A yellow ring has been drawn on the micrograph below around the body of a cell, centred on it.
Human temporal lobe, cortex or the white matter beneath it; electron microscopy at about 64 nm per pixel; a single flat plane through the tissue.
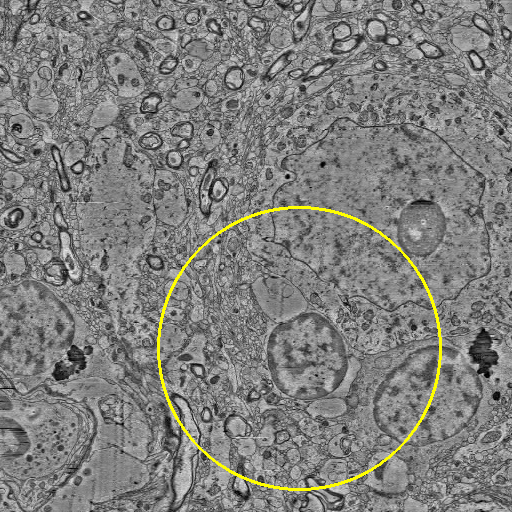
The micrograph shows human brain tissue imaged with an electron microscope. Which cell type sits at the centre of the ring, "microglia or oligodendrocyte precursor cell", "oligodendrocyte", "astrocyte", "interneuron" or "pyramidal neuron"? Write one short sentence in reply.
The cell sitting at the centre of the ring is a microglial cell or oligodendrocyte precursor cell.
